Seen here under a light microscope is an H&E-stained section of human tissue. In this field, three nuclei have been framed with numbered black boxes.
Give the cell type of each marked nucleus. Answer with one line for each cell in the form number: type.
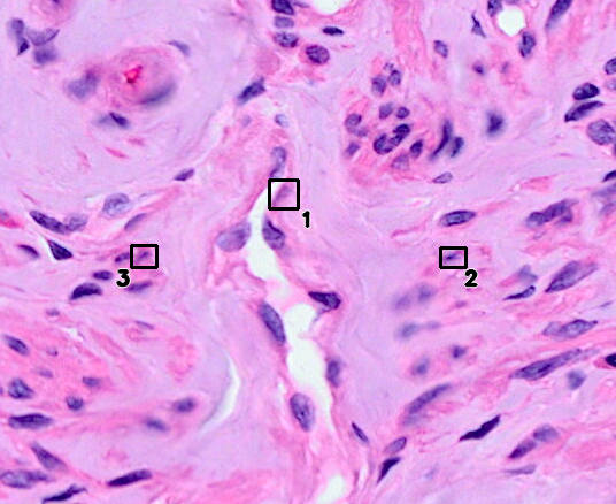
1: endothelial cell
2: smooth muscle cell
3: smooth muscle cell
